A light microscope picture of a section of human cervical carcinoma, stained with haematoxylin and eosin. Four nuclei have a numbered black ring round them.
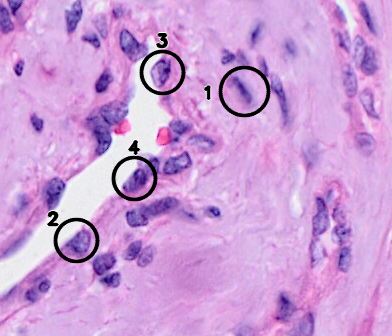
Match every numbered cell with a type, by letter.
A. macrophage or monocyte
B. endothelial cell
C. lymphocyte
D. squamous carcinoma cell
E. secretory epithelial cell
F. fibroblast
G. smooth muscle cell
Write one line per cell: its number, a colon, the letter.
1: F
2: B
3: B
4: B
